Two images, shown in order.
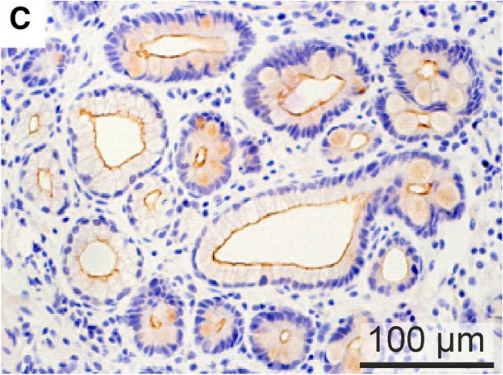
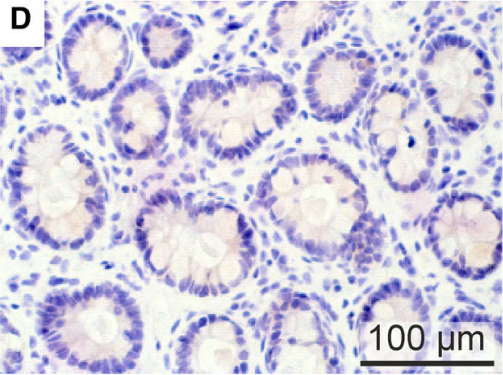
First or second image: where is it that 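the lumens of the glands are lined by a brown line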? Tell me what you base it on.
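The first image. Second image: the glands are blue throughout with no brown line along their lumens. First image: a distinct brown line outlines the lumen of most glands.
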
